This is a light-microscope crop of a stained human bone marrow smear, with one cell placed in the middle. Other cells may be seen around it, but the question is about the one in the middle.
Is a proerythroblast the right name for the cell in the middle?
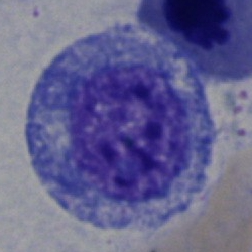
no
